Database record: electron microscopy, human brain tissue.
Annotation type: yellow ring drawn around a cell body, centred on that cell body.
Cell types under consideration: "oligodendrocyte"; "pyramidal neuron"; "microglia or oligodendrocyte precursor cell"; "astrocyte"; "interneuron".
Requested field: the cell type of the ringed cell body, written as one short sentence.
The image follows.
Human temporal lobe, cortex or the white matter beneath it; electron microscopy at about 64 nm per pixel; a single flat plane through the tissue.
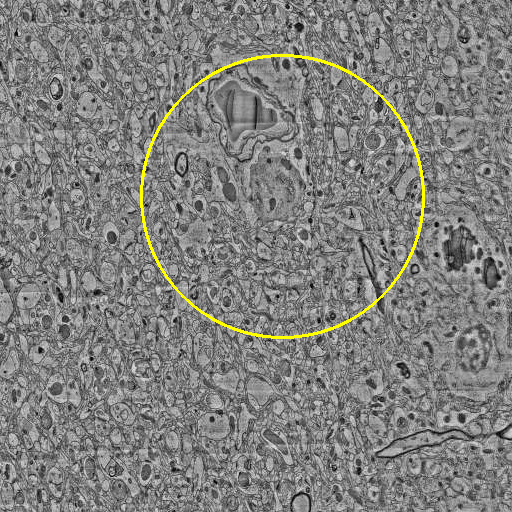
The ringed cell body represents an oligodendrocyte.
